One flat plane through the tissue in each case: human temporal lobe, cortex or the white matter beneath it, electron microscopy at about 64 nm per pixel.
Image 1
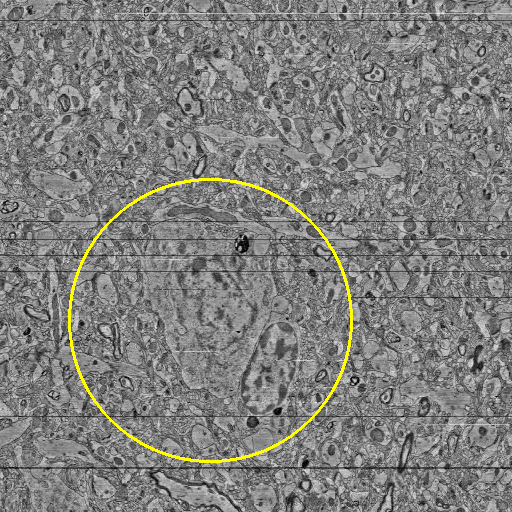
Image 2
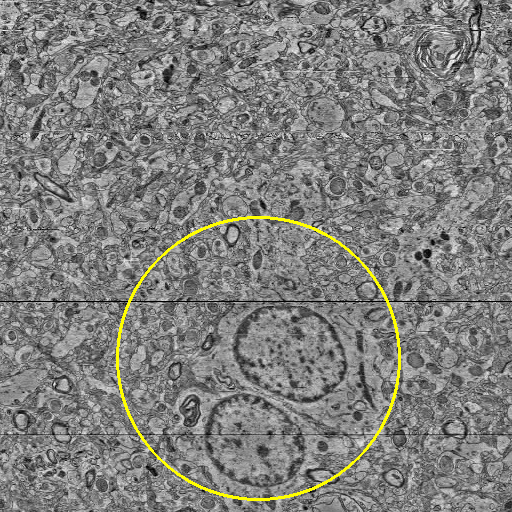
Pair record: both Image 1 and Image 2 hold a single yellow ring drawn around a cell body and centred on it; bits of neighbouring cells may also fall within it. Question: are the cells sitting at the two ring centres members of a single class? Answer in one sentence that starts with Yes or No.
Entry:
No, the ring-centre cells in Image 1 and Image 2 come from two classes.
